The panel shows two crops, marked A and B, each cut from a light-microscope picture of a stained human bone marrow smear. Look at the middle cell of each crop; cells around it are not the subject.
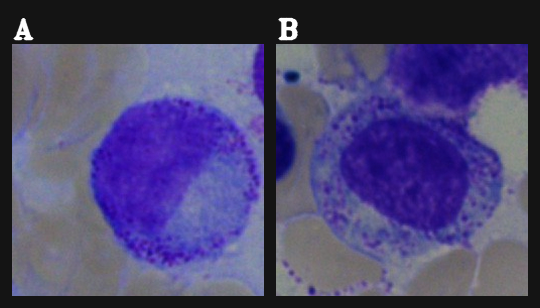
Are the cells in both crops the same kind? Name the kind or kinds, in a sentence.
Yes, myelocytes are what the two crops show.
